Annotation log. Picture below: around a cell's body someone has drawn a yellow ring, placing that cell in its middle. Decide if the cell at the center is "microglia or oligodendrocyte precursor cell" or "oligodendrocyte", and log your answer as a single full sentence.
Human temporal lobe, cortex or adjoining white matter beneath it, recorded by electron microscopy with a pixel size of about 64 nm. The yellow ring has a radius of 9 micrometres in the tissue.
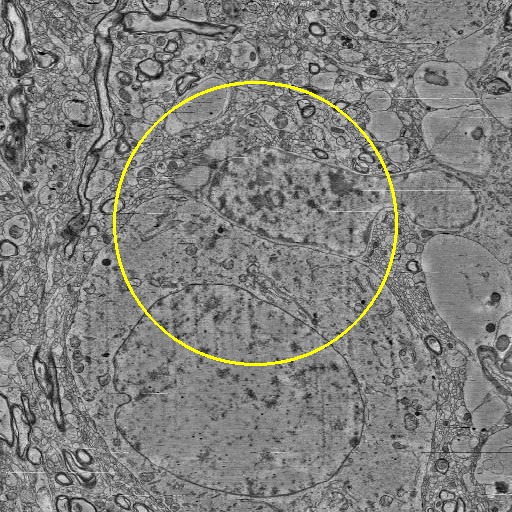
My entry records a microglial cell or oligodendrocyte precursor cell as the cell sitting at the center of the yellow ring.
